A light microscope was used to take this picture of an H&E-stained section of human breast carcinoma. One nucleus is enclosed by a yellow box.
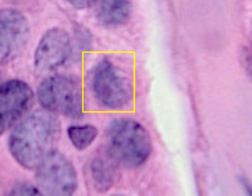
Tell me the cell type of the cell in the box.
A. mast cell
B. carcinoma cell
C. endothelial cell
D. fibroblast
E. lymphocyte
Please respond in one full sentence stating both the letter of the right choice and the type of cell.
That the cell in the box is a carcinoma cell makes option B the correct choice.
